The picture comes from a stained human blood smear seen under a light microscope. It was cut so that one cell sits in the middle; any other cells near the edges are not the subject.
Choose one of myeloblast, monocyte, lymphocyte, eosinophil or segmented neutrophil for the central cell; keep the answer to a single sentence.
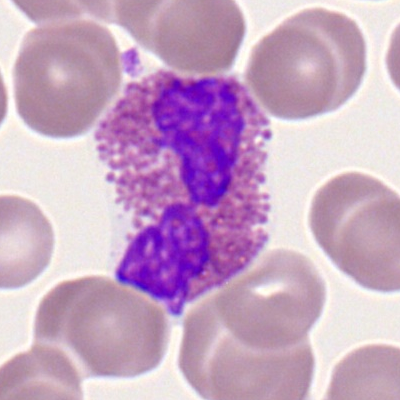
What the crop centres on is an eosinophil.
